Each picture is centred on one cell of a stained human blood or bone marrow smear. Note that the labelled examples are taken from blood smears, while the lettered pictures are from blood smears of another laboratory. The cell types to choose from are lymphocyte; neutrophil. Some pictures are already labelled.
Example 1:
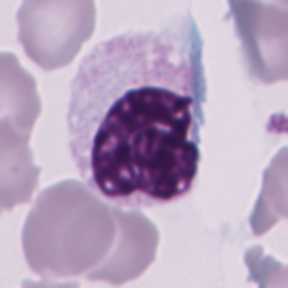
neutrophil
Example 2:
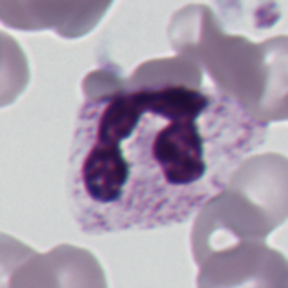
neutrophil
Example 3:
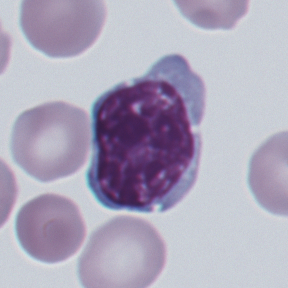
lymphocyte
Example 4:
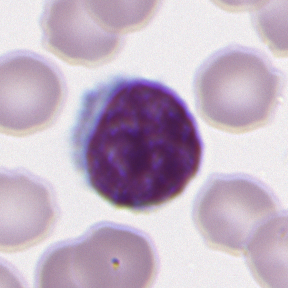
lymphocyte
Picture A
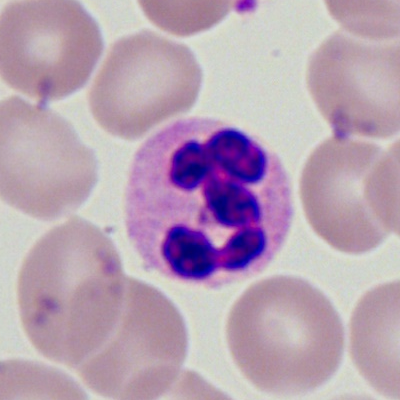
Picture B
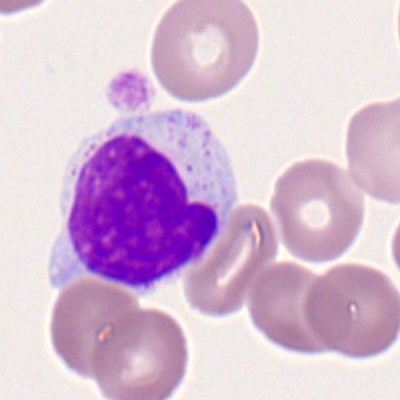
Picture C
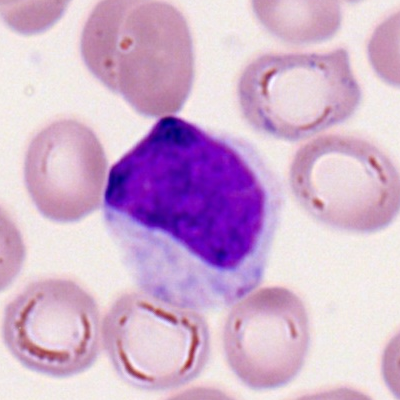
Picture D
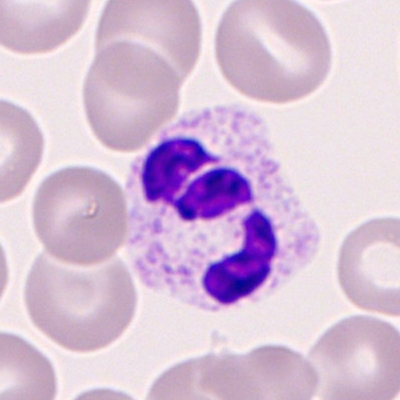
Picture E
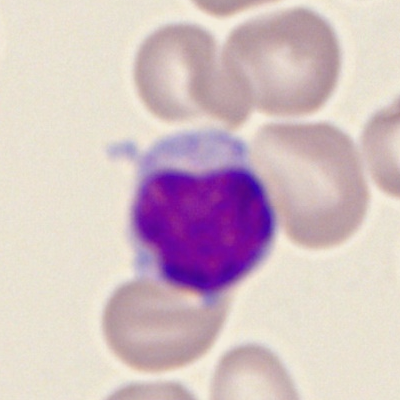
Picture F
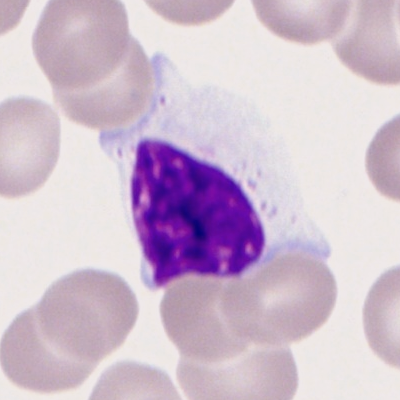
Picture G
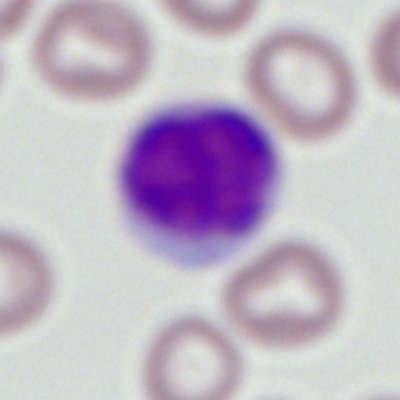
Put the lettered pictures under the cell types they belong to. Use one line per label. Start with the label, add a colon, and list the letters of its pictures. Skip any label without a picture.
lymphocyte: B, C, E, F, G
neutrophil: A, D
